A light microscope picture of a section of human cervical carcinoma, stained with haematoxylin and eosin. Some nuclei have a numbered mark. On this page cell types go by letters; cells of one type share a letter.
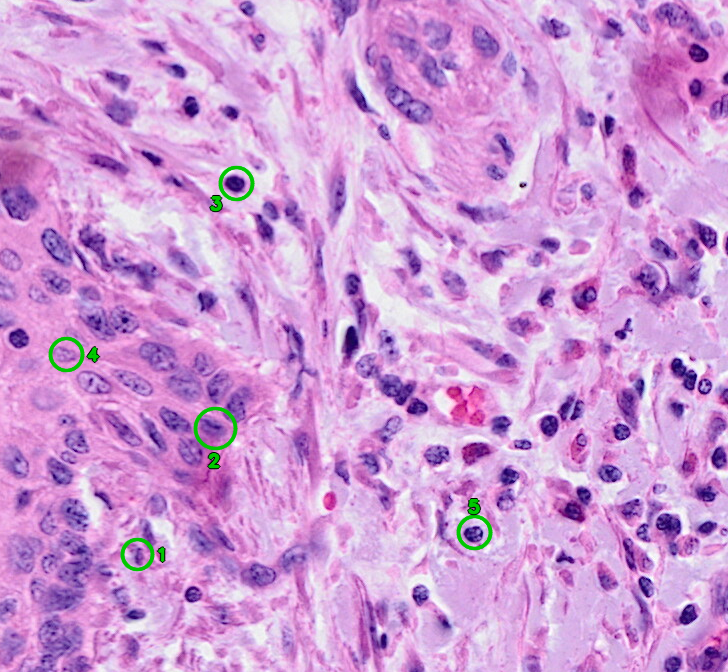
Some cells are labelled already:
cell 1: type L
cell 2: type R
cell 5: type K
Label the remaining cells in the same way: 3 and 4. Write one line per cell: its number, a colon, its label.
3: type K
4: type R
